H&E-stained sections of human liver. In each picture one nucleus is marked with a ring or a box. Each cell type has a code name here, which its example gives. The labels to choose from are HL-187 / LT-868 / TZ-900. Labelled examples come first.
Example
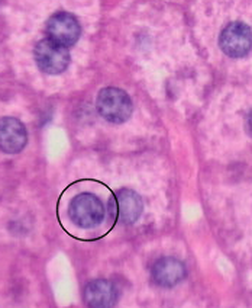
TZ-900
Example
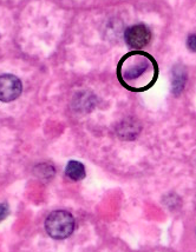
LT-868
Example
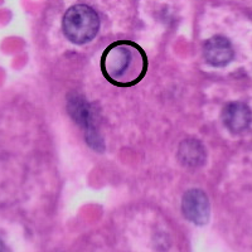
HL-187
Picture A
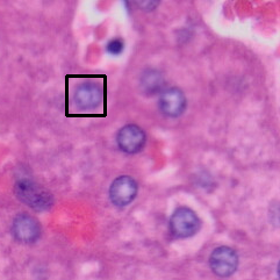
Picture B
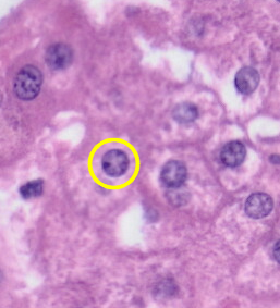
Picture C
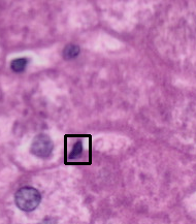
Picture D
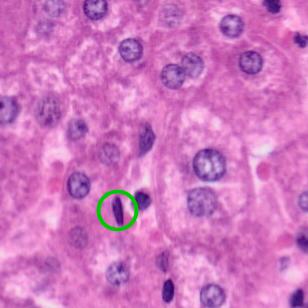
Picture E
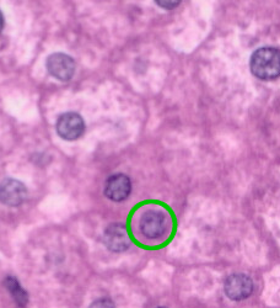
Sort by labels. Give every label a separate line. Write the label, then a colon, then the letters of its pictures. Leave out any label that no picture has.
LT-868: C, D
TZ-900: A, B, E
